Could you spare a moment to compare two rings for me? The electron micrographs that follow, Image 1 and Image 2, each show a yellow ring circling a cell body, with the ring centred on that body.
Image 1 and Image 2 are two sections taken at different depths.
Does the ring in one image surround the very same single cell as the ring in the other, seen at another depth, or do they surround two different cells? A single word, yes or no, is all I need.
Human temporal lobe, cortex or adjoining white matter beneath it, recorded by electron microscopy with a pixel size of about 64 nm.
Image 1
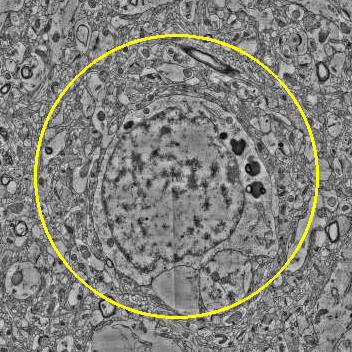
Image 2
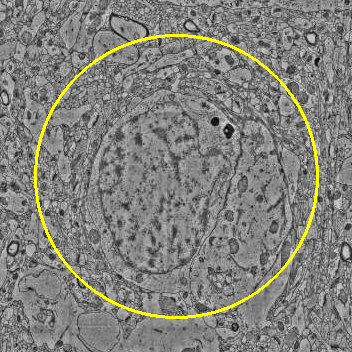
yes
